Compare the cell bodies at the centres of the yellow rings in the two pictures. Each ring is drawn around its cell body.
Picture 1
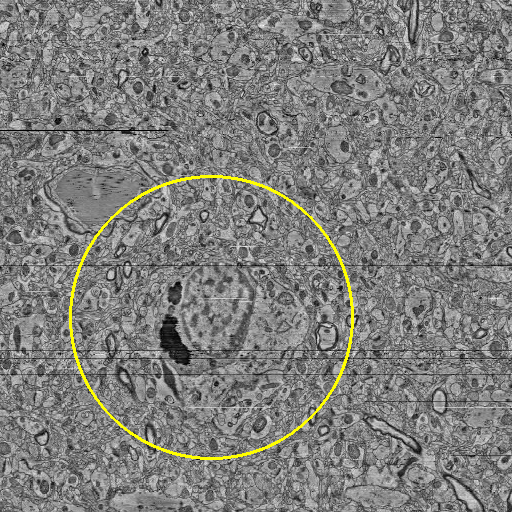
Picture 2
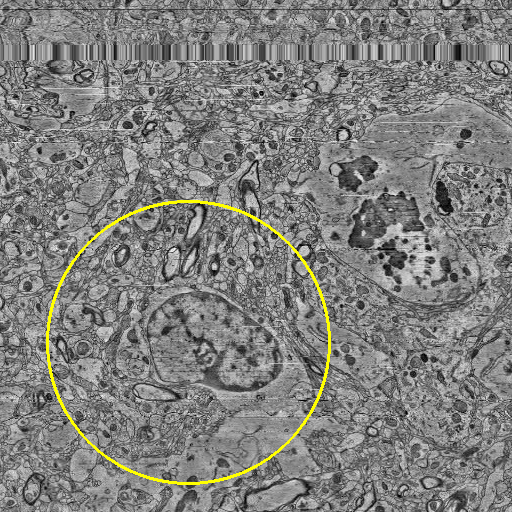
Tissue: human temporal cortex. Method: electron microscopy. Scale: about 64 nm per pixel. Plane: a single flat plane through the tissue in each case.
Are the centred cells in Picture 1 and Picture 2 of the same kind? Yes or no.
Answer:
no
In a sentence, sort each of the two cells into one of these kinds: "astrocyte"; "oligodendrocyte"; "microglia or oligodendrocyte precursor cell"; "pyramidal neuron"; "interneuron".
The first of the two cells is an oligodendrocyte, and the second is a microglial cell or oligodendrocyte precursor cell.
